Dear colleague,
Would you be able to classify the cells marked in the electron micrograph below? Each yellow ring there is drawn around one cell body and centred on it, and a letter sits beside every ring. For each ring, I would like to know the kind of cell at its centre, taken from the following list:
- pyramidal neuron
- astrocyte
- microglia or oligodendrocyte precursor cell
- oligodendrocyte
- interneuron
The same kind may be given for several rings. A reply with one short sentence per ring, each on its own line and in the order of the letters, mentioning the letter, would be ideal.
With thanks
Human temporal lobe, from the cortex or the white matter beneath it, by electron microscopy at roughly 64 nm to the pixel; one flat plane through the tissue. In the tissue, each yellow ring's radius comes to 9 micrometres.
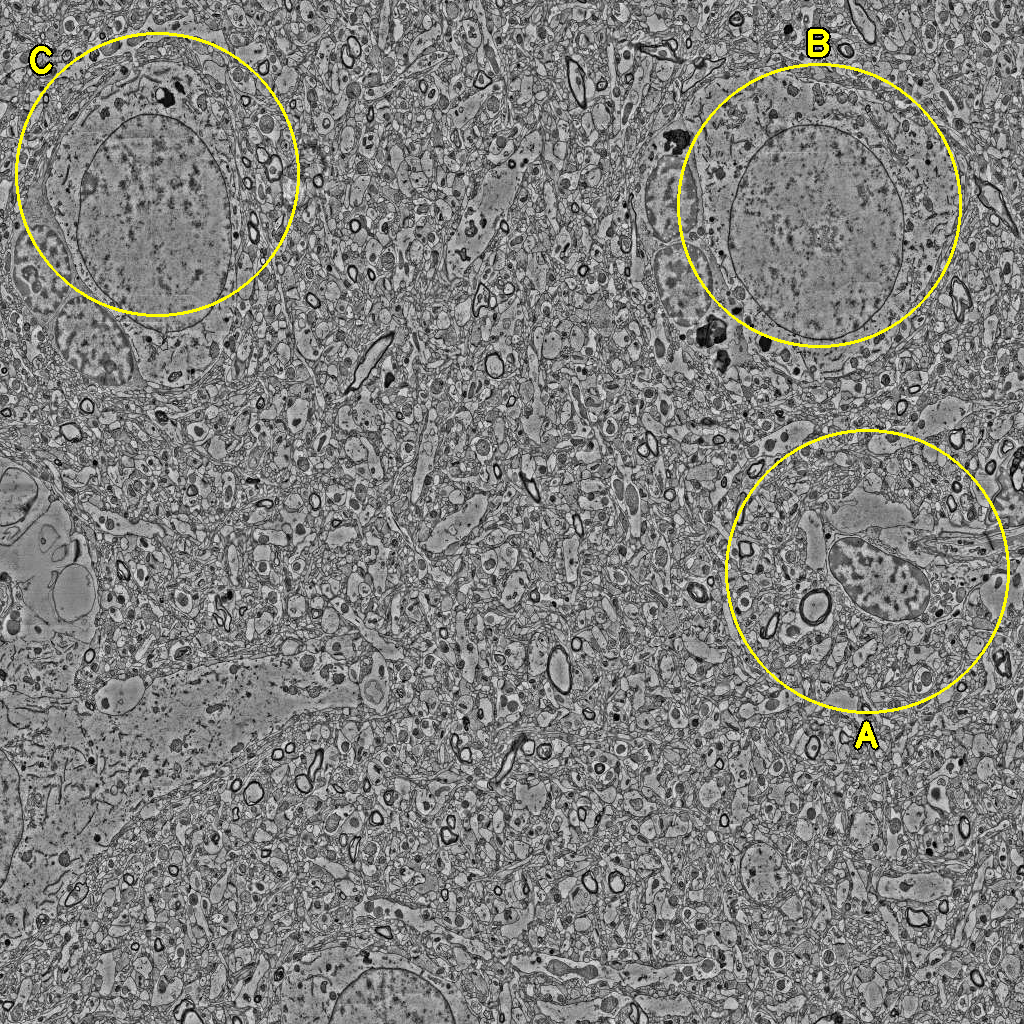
Ring A contains a microglial cell or oligodendrocyte precursor cell at its centre.
Ring B contains a pyramidal neuron at its centre.
Ring C contains a pyramidal neuron at its centre.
